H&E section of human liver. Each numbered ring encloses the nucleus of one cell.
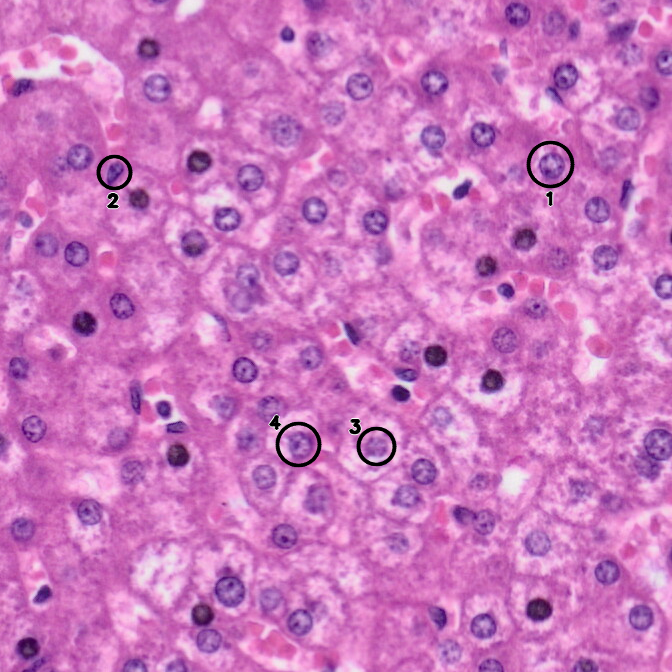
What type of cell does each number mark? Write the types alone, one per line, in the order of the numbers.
hepatocyte
fibroblast or stellate cell
hepatocyte
hepatocyte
